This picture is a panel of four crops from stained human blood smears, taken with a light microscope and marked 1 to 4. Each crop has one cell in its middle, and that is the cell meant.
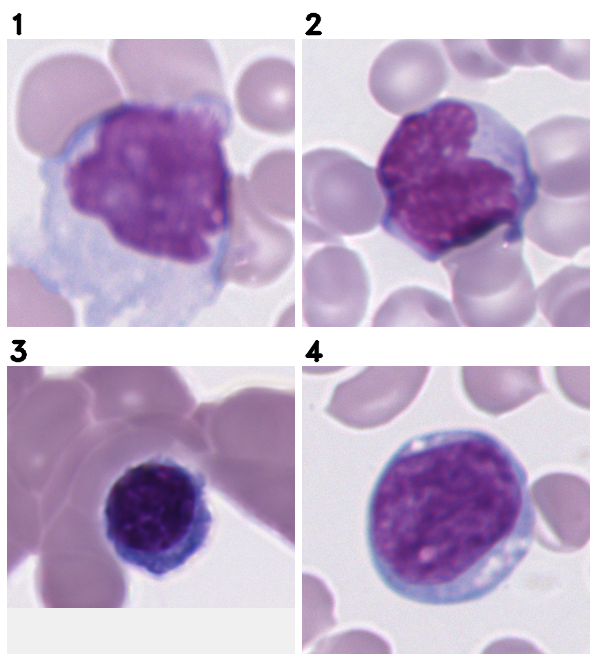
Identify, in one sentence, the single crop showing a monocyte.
Crop 1 is identified as the crop showing a monocyte.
